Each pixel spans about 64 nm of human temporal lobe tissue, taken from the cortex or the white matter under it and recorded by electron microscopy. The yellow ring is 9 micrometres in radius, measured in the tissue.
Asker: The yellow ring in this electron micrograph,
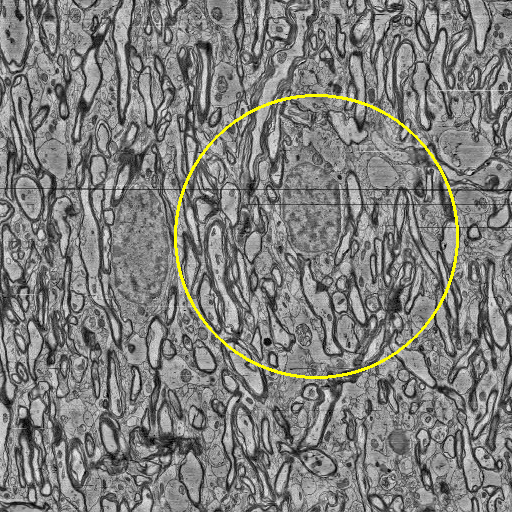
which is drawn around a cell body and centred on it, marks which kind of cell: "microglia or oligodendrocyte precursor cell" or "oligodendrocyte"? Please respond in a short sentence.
The marked cell is an oligodendrocyte.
